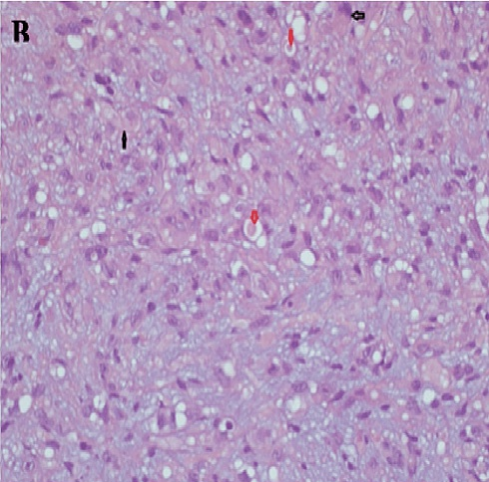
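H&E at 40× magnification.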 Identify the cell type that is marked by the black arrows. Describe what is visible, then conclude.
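The cells have ample pink cytoplasm rather than a thin spindle shape. On this evidence: epithelioid-looking atypical cells.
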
